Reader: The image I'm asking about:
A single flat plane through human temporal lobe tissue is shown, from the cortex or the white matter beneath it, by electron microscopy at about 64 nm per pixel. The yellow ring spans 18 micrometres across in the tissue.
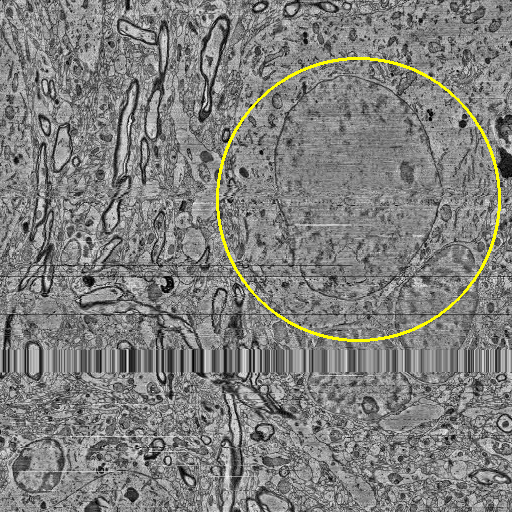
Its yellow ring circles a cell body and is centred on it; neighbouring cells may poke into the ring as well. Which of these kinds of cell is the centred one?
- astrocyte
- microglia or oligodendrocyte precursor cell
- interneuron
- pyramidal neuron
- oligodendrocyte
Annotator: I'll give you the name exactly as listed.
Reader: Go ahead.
pyramidal neuron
